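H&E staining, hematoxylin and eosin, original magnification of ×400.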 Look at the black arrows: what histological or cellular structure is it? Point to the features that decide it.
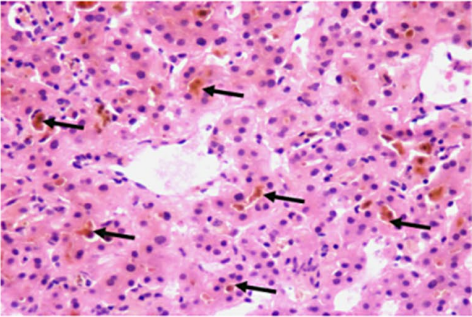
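Several dense golden-brown to dark brown globules lie among the cell plates. The globules sit between or within pink polygonal cells with round nuclei.
Answer: bile plugs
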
